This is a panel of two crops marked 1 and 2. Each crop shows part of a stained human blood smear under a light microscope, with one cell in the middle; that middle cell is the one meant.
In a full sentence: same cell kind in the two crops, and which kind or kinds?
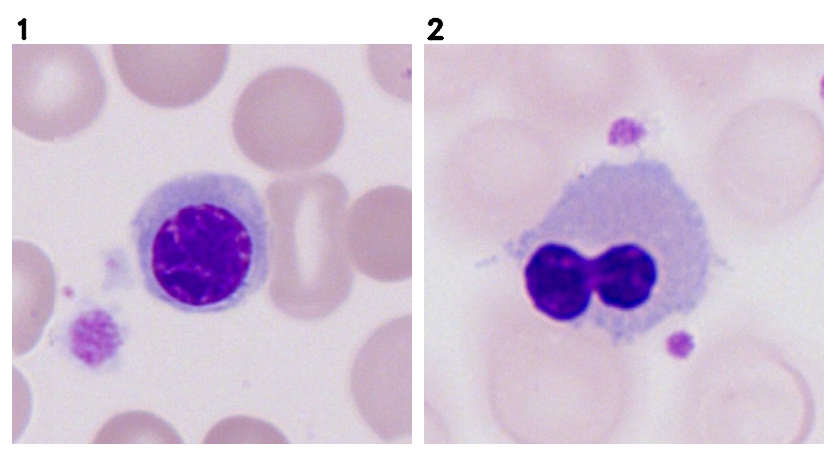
Yes, both crops show erythroblasts as their central cells.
